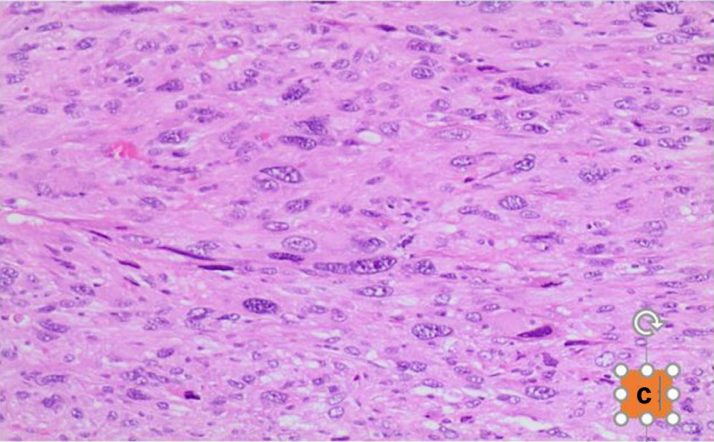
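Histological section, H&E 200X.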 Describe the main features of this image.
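This is a malignant tumour made of sheets of plump spindle and ovoid cells with pink cytoplasm, running in loose streams with no glands or follicles. The nuclei are large and vary considerably in size and shape; many have open, vesicular chromatin with visible nucleoli. Scattered among them are darker, elongated or bizarre hyperchromatic nuclei. Small clear spaces lie between the cells here and there.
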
